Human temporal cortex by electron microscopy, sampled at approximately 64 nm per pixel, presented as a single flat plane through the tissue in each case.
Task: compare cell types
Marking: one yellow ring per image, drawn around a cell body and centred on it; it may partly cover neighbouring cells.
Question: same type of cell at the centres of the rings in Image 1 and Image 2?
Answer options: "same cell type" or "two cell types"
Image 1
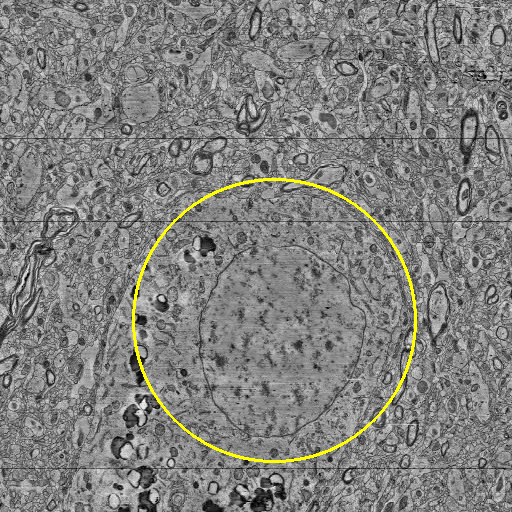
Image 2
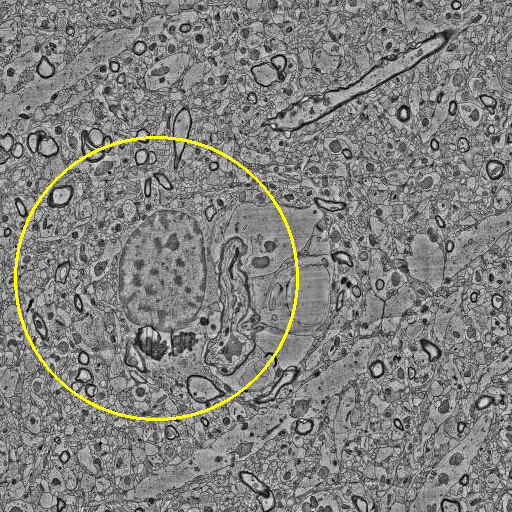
two cell types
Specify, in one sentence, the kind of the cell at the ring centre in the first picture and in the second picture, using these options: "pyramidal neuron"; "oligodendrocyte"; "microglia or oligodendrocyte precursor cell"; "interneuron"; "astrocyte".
So the first is a pyramidal neuron, the second an oligodendrocyte.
